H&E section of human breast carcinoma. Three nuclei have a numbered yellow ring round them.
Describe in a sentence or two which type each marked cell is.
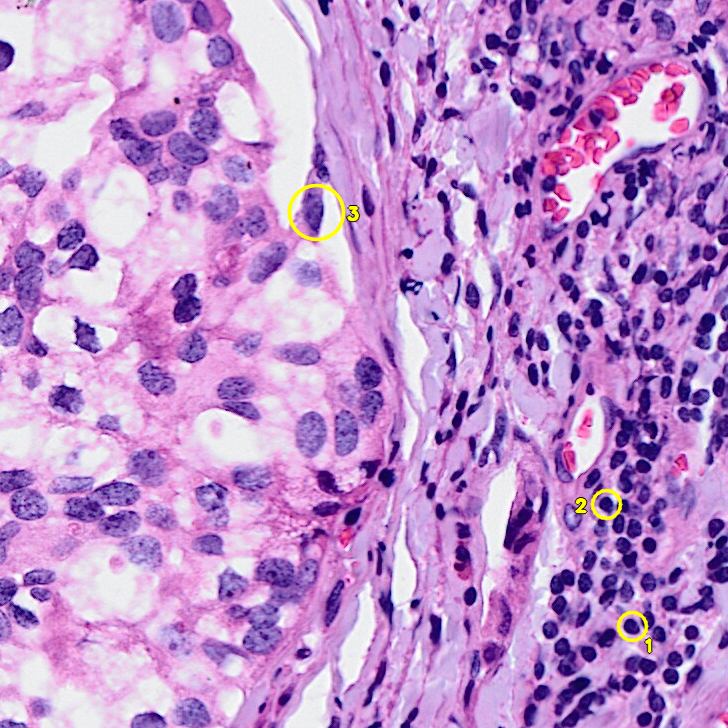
Cell 1 is a lymphocyte, cell 2 is a lymphocyte and cell 3 is a carcinoma cell.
